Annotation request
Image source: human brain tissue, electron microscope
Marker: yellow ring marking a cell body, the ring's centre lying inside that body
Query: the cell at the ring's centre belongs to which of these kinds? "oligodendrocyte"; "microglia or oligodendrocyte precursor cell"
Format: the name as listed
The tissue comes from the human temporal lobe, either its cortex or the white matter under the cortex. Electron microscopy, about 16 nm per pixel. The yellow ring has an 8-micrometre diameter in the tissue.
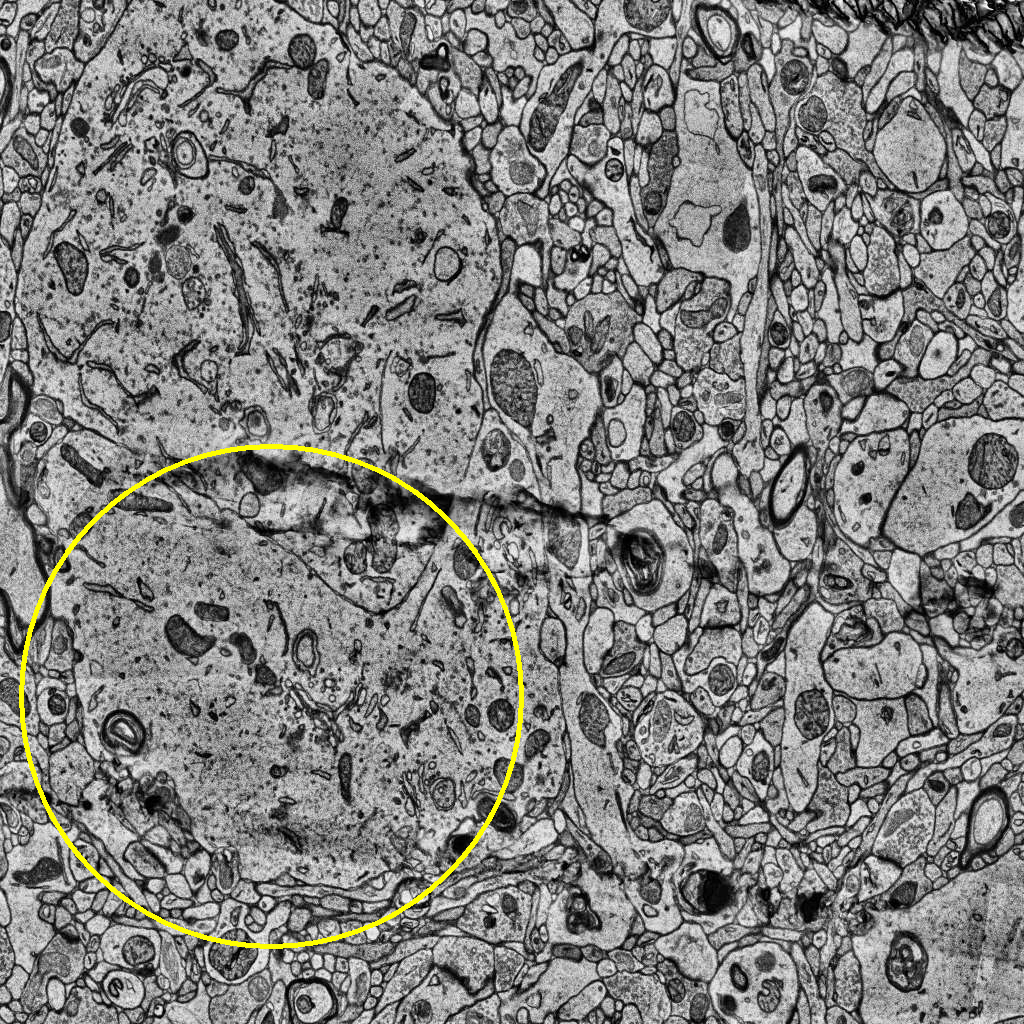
microglia or oligodendrocyte precursor cell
